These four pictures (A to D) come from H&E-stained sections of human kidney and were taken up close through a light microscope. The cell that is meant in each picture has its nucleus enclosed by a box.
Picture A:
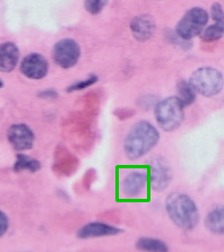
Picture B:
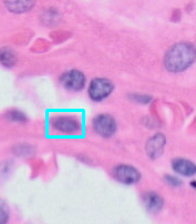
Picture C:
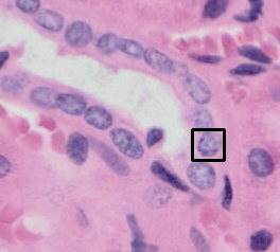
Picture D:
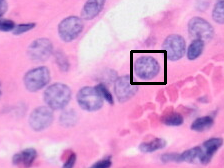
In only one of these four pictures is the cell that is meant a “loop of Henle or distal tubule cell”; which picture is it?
B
